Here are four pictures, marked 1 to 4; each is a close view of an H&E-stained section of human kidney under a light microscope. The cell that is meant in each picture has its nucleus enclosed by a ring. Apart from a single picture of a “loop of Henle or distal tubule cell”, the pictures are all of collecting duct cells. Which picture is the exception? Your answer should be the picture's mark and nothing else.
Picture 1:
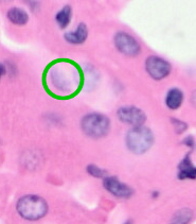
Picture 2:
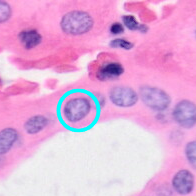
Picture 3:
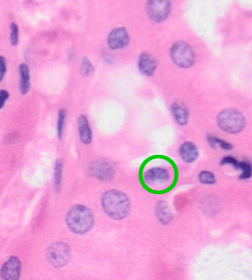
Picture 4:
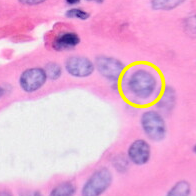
3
